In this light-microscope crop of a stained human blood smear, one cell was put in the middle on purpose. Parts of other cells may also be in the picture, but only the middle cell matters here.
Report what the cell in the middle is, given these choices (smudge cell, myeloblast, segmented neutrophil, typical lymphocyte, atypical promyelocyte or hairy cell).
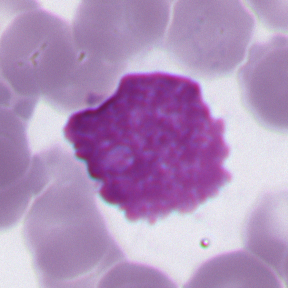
smudge cell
